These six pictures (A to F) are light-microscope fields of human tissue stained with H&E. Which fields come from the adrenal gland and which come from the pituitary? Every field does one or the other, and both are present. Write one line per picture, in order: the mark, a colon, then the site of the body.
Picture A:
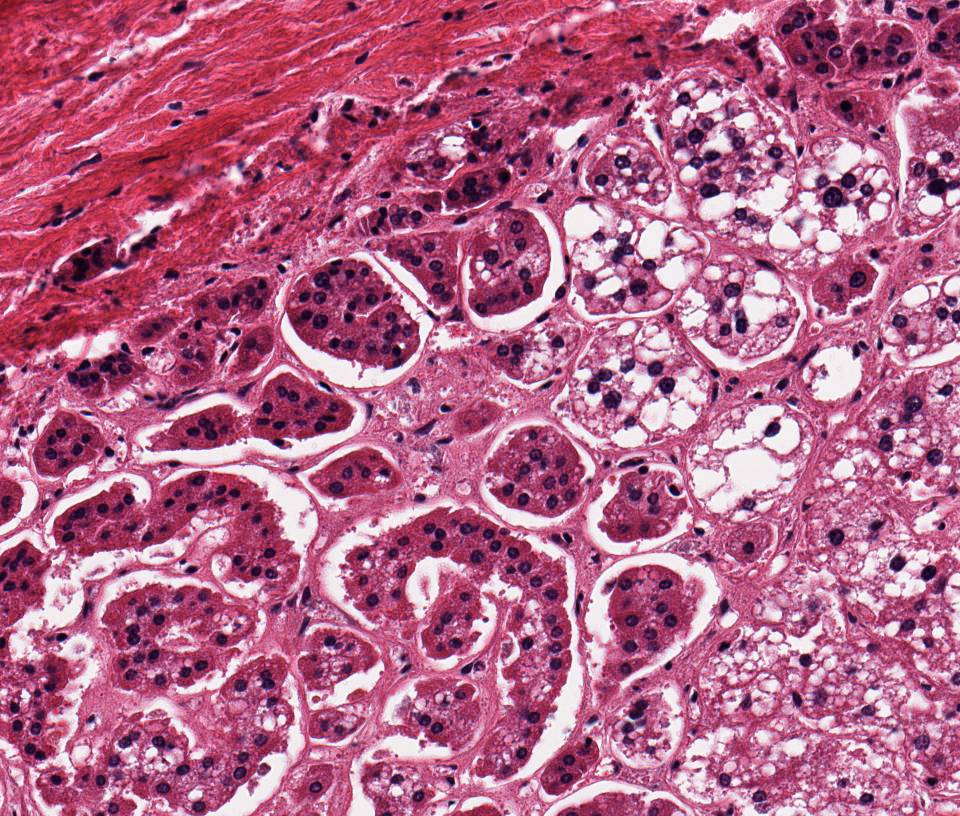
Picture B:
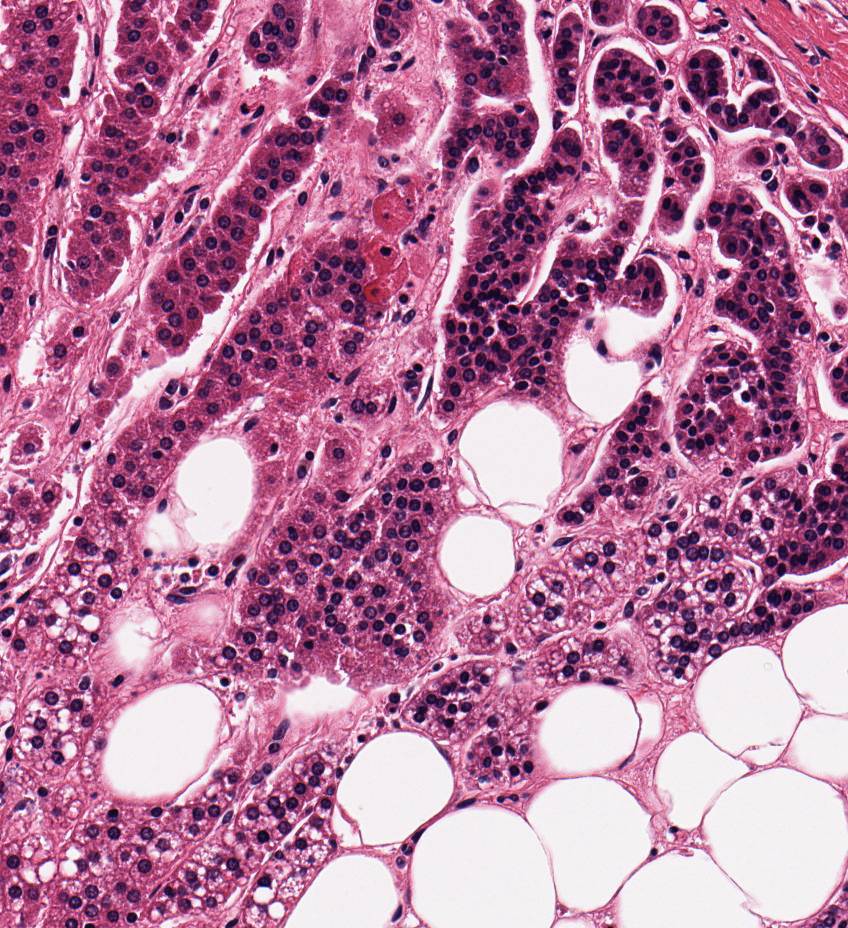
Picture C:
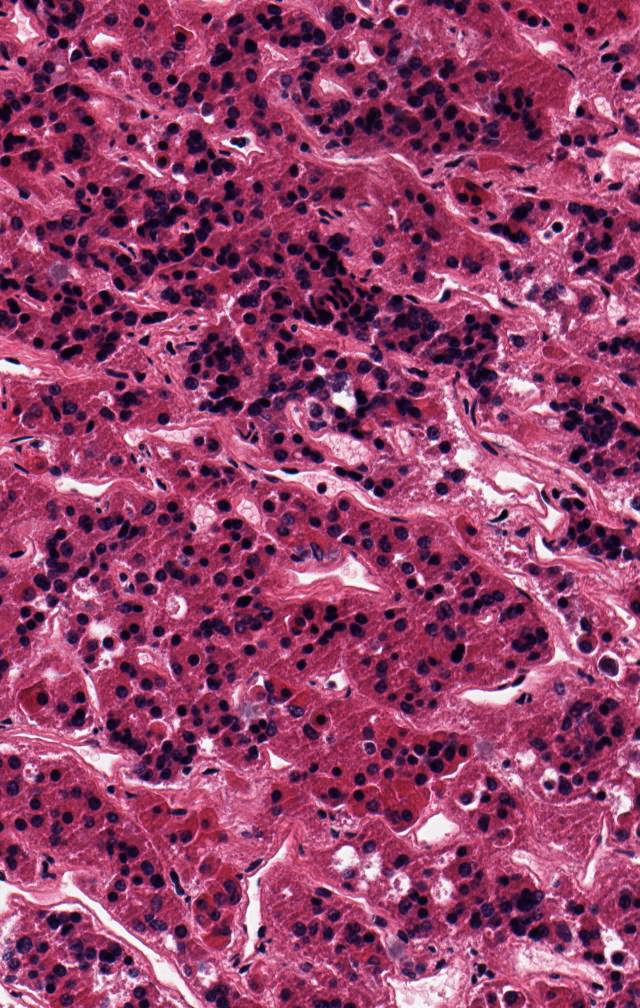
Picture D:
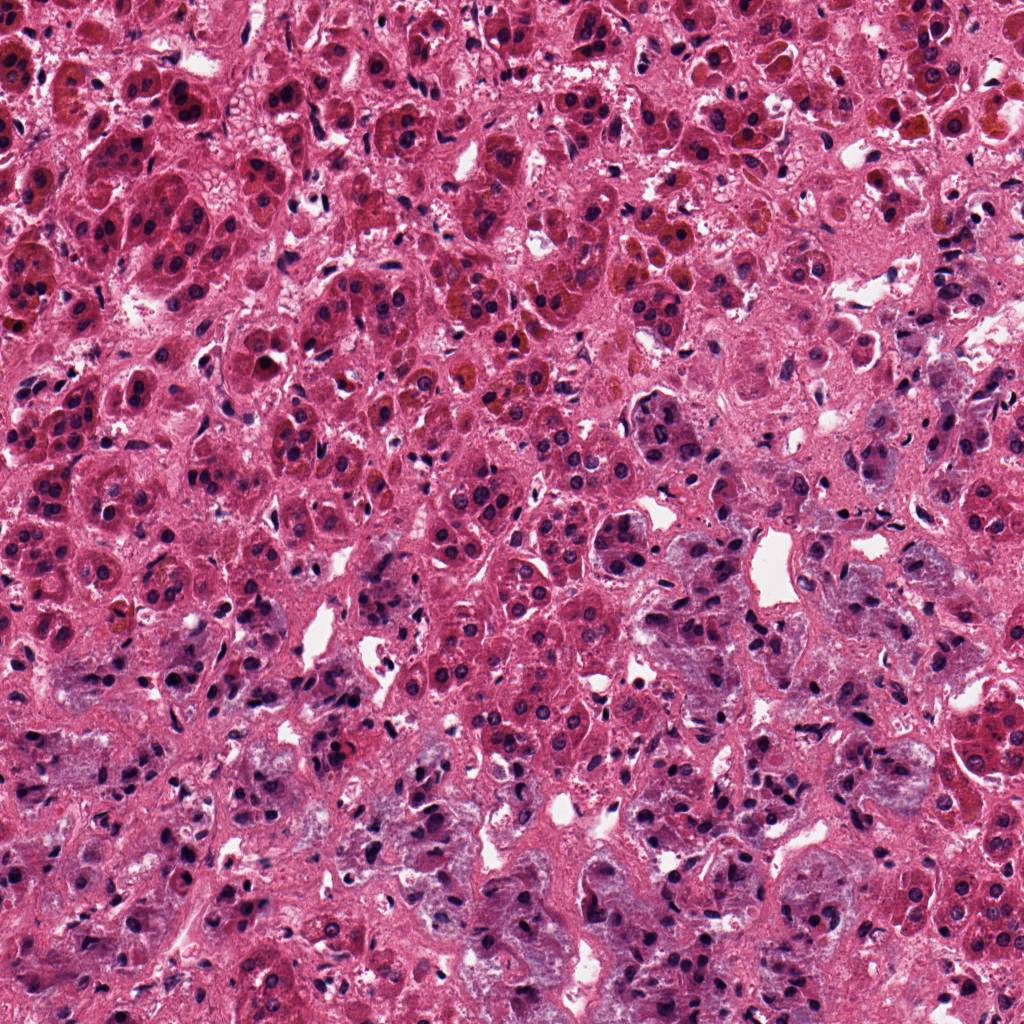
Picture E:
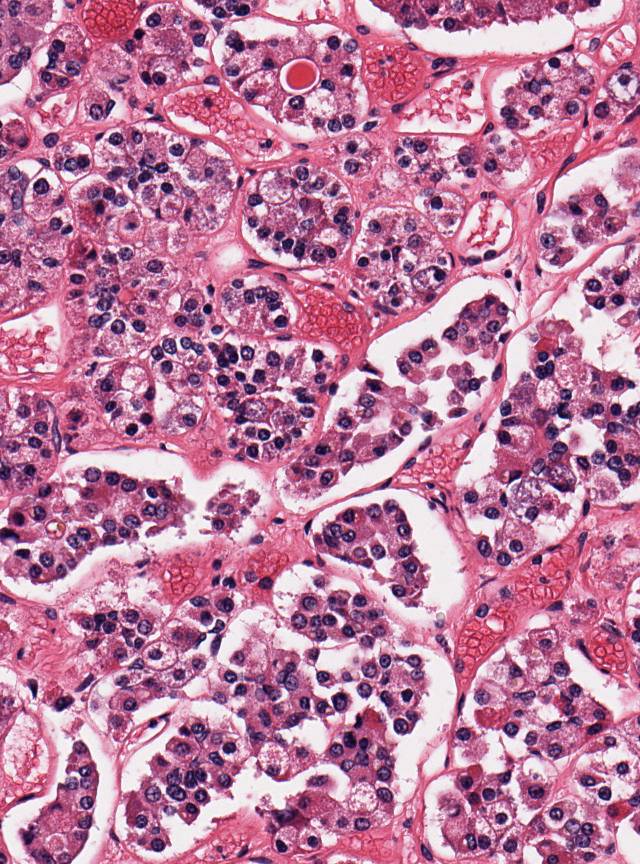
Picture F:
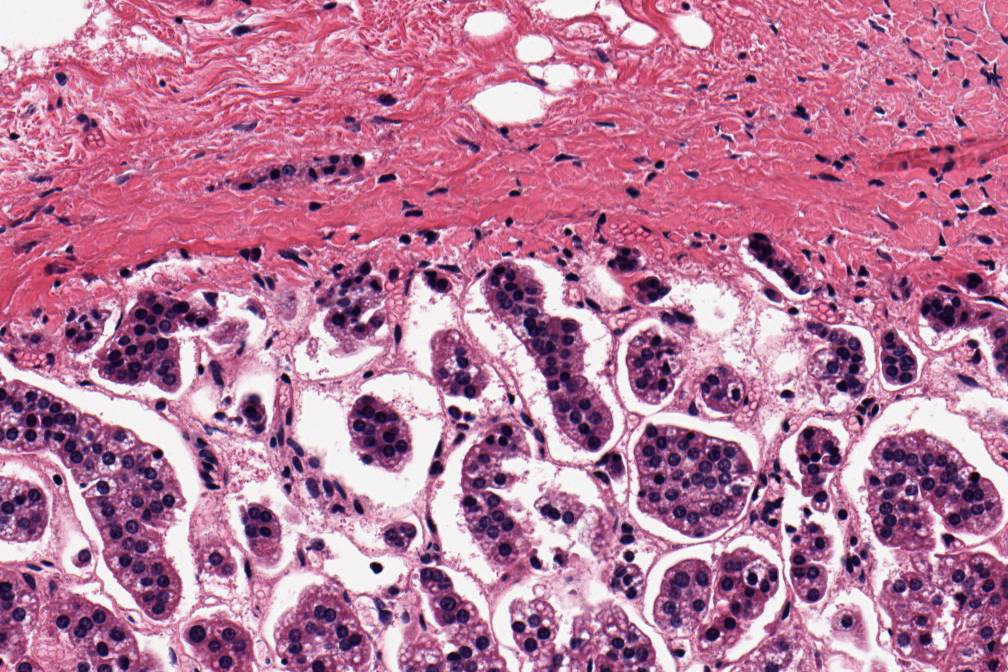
A: adrenal gland
B: adrenal gland
C: pituitary
D: adrenal gland
E: pituitary
F: adrenal gland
